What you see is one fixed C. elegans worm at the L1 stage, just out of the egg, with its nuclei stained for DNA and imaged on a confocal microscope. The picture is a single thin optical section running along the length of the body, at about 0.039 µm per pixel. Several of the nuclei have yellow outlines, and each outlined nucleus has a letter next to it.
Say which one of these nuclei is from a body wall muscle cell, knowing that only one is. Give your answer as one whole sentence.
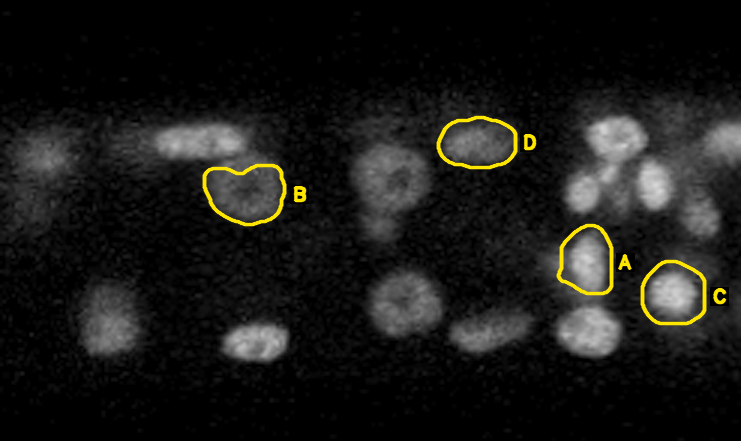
It is D that belongs to a body wall muscle cell.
